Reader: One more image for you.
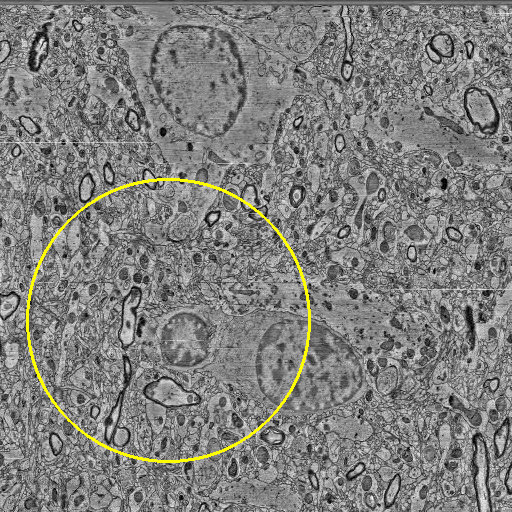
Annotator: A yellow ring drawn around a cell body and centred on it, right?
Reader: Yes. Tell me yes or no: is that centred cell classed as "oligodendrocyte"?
yes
